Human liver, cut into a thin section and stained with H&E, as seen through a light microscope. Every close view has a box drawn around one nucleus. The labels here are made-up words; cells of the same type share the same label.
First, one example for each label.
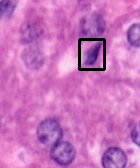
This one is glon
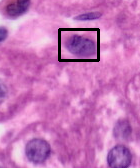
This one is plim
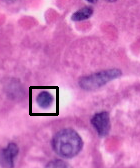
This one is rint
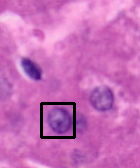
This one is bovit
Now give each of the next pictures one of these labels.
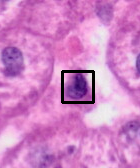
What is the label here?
plim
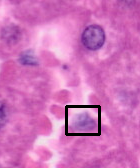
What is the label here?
plim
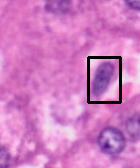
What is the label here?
plim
